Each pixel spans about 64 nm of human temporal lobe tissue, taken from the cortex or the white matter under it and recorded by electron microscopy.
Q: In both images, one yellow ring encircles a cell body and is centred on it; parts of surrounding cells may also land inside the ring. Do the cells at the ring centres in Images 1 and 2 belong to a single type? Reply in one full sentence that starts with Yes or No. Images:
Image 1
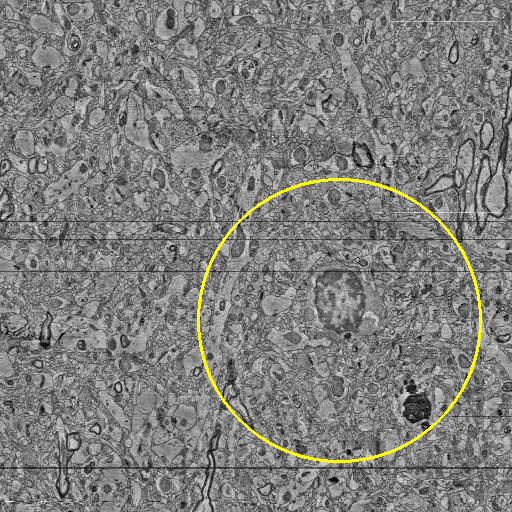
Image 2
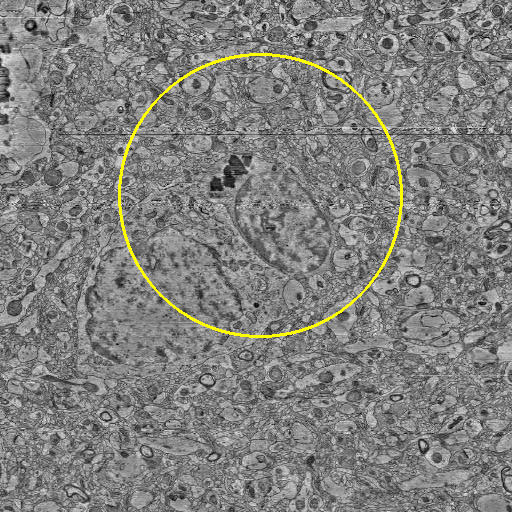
Yes, the cells at the ring centres in Images 1 and 2 are of a single type.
